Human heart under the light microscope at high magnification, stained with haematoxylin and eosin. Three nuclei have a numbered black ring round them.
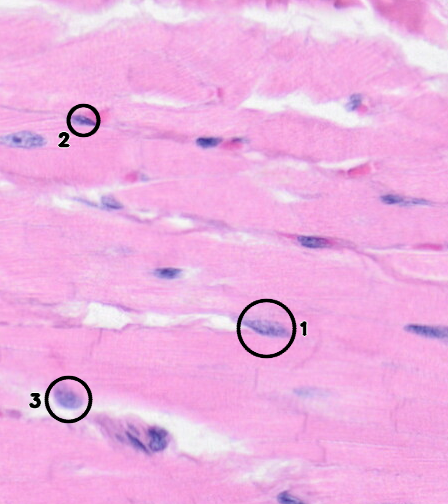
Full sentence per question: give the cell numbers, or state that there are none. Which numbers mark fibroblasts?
The cells numbered 1 and 3 are of the kind known as fibroblasts.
